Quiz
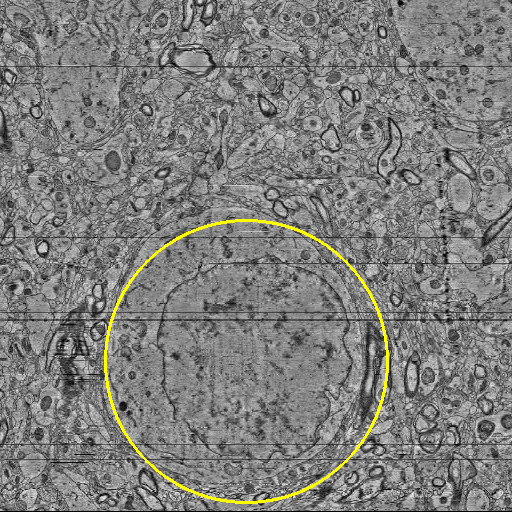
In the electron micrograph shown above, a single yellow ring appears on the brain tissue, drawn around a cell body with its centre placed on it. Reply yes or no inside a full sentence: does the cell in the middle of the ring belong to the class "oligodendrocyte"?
No, the cell at the centre of the ring in the picture belongs to a different class.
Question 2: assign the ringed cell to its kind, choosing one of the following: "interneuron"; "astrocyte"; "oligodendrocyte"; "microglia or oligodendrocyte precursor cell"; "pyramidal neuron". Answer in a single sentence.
Instead, what sits at the centre of the ring is a pyramidal neuron.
